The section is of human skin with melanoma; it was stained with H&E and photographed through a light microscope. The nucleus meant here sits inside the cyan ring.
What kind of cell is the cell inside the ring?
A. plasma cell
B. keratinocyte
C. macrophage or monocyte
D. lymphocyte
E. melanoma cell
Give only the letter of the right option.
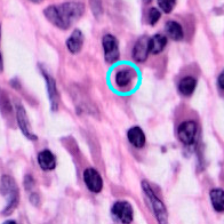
A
